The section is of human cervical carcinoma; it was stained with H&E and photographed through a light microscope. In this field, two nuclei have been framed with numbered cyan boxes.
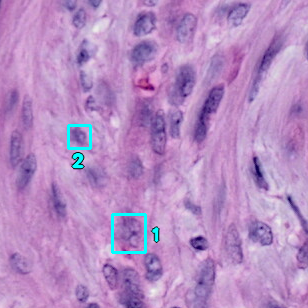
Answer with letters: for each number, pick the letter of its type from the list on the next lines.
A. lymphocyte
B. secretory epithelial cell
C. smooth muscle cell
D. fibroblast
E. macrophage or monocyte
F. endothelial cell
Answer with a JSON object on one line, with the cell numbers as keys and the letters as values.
{"1": "F", "2": "C"}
